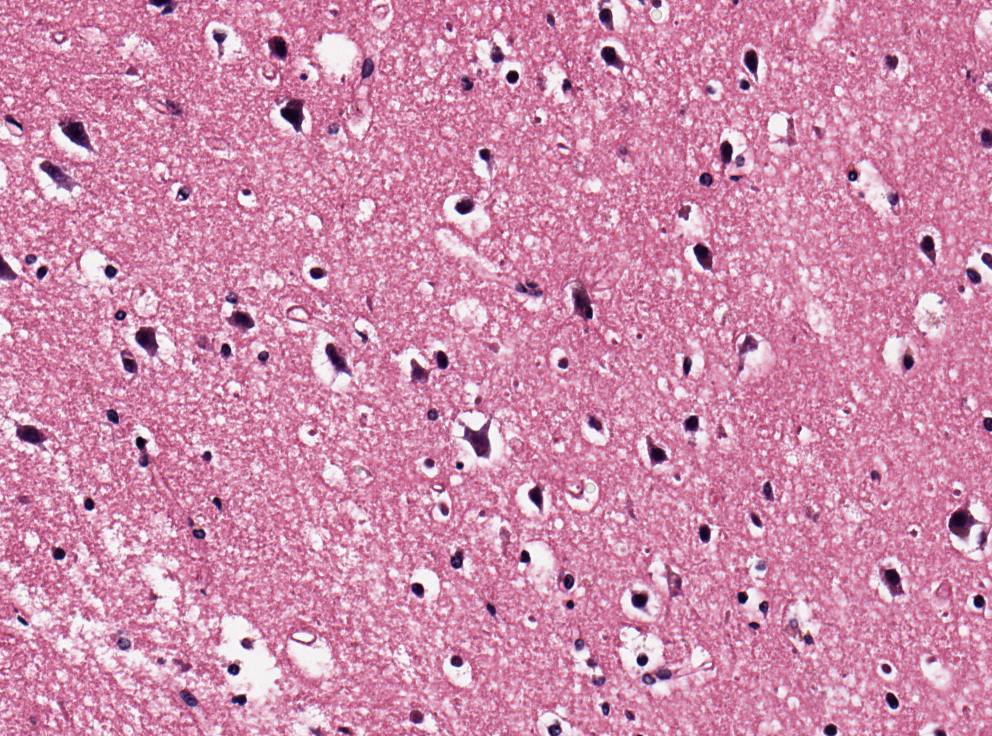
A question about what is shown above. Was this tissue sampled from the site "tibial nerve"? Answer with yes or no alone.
no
